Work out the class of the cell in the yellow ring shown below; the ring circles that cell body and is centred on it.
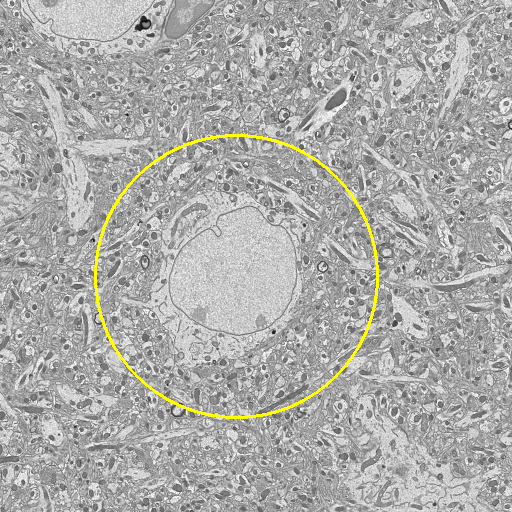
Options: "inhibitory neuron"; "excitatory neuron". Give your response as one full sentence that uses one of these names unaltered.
The body ringed in yellow, right at the ring's centre, is that of an excitatory neuron.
